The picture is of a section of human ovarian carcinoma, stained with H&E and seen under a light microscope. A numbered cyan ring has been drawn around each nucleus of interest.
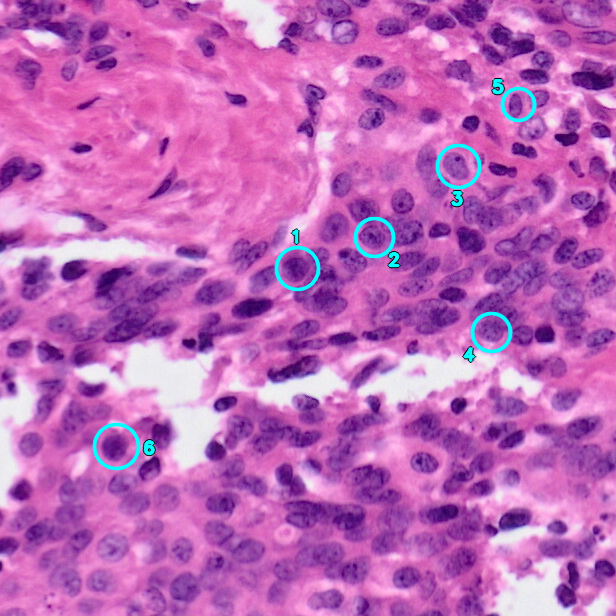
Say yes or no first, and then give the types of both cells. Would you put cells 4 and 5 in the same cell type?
No, cell 5 is a macrophage or monocyte, and cell 4 is a carcinoma cell.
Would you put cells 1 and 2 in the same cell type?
Yes, cells 1 and 2 are, both of them, carcinoma cells.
